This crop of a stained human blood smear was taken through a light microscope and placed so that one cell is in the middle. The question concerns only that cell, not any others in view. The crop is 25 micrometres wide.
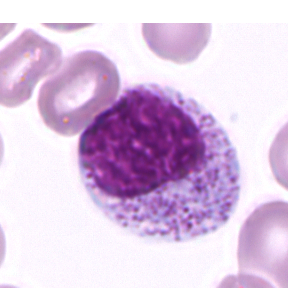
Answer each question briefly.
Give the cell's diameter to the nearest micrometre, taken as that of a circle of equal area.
14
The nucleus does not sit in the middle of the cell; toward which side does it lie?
upper left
